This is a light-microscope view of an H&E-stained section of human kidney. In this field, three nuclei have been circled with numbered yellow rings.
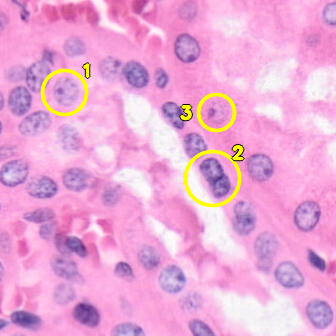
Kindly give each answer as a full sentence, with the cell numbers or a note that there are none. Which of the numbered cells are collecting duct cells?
Here, the cells that carry numbers 1 and 2 are collecting duct cells.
